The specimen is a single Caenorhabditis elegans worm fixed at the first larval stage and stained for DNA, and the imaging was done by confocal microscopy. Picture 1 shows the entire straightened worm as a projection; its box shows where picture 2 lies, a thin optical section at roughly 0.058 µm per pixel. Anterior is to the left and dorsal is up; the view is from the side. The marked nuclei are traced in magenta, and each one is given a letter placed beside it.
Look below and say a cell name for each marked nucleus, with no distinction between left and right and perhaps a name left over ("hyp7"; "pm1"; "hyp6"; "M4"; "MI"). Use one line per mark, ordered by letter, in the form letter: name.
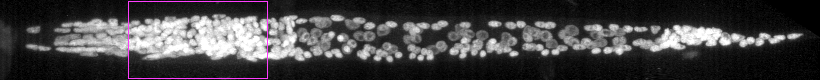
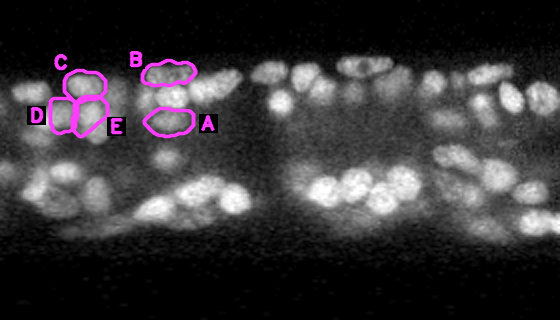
A: M4
B: hyp7
C: hyp6
D: pm1
E: MI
